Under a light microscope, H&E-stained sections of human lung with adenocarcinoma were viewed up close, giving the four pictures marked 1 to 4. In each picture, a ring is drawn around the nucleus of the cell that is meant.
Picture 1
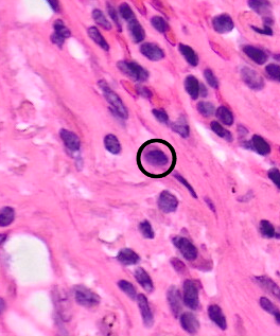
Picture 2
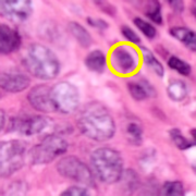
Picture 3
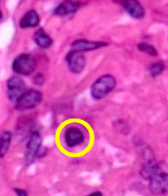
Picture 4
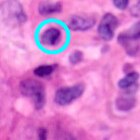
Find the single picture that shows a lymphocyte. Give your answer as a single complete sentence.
The lymphocyte is the one in picture 4.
